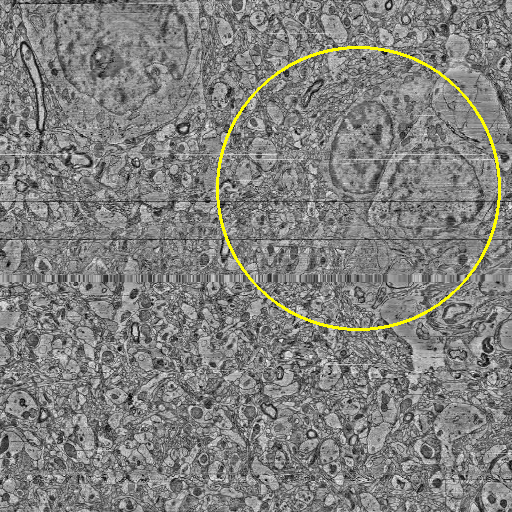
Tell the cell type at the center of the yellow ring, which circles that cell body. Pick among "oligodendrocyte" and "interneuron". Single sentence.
The ring is centered on the body of an oligodendrocyte.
